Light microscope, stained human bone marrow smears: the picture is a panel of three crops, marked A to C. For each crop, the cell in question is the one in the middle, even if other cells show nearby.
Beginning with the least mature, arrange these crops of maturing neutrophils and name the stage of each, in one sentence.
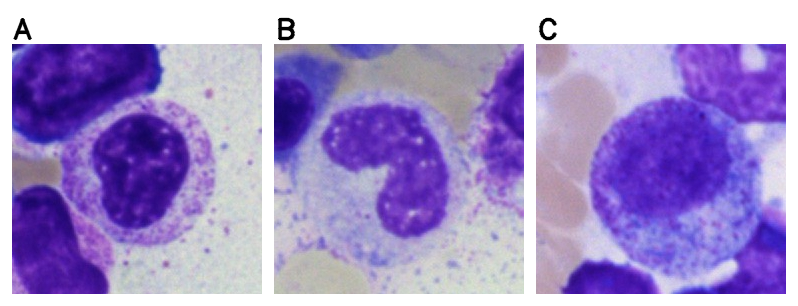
The maturity ranking, lowest to highest, is crop C (a promyelocyte), crop A (a myelocyte) and crop B (a band neutrophil).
